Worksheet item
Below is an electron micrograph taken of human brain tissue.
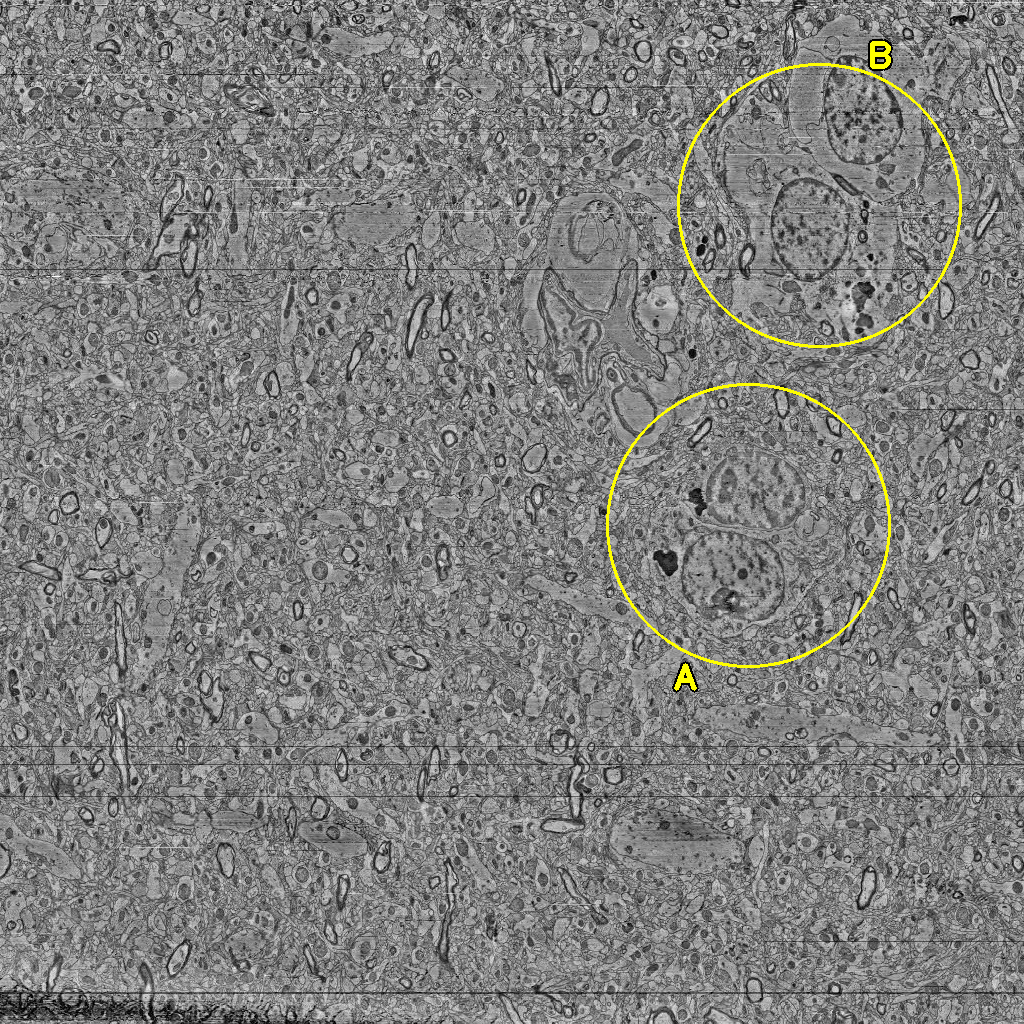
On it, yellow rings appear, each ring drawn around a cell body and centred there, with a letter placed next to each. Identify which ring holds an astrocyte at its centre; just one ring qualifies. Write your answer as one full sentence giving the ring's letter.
Ring B has the cell asked for right at its centre in the picture.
